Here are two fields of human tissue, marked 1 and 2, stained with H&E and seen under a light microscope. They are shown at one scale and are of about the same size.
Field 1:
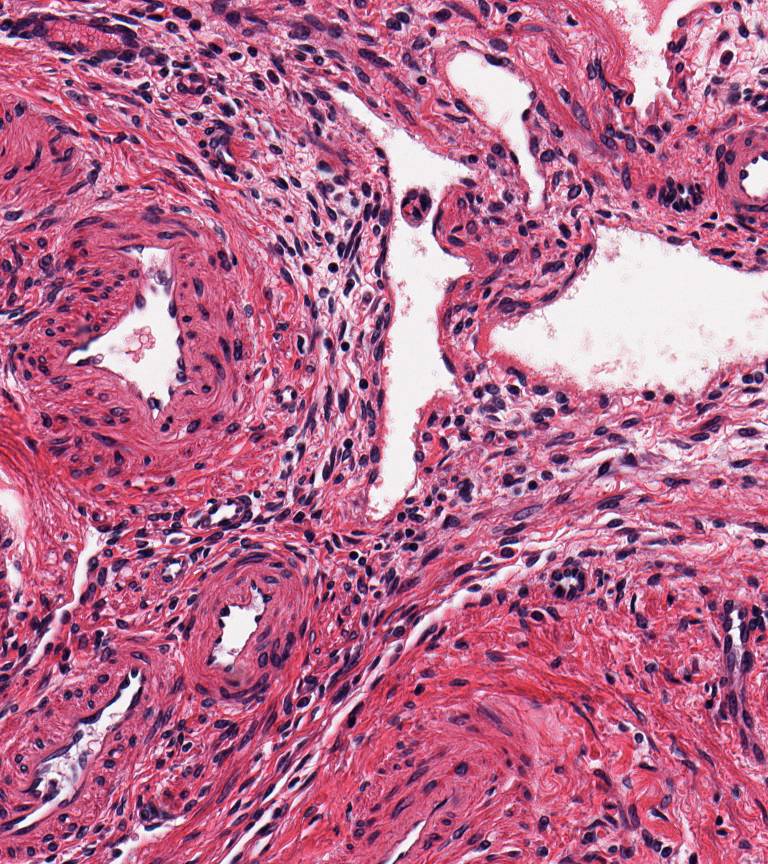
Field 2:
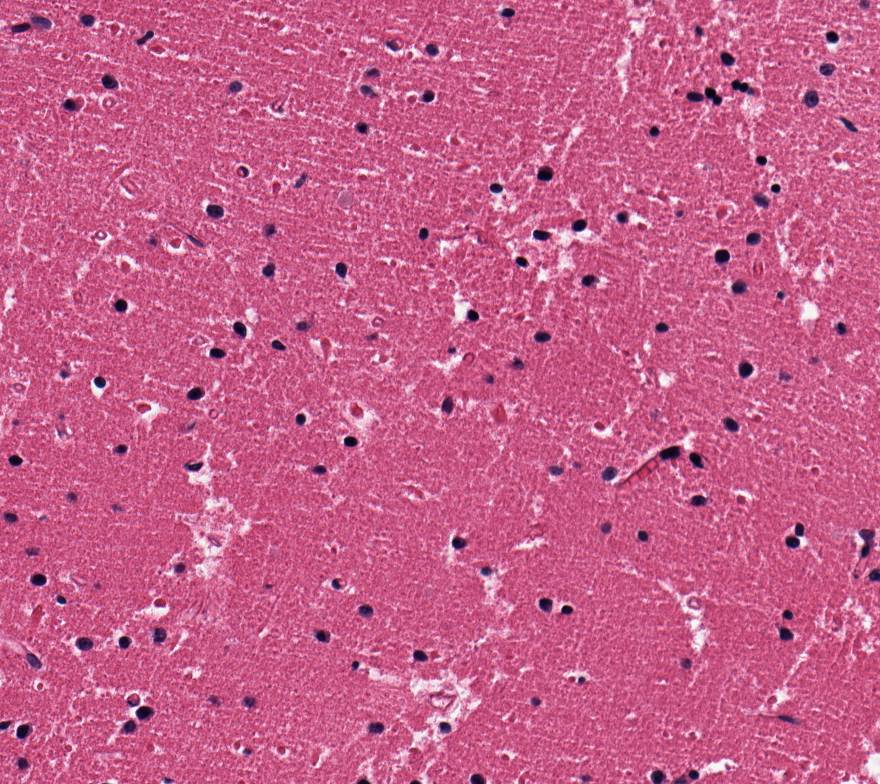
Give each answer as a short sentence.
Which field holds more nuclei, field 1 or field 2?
It is field 1 that has more nuclei in it.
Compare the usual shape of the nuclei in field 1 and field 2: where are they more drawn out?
The nuclei are more elongated in field 1.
